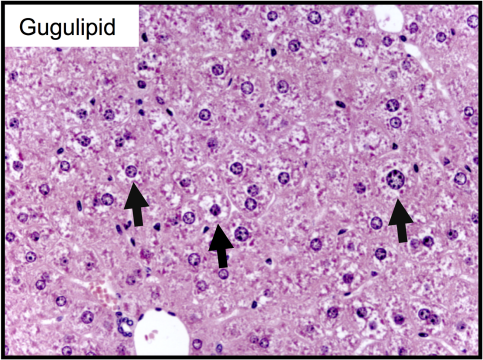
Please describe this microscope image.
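Liver tissue of hepatocytes around two vessel lumens, in which many hepatocytes look enlarged, with round central nuclei and dark nucleoli. Their cytoplasm is pale and ragged, with small clear spaces and clumped pink material, rather than evenly pink. A few small dark elongated nuclei of lining cells lie between the hepatocyte cords.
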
